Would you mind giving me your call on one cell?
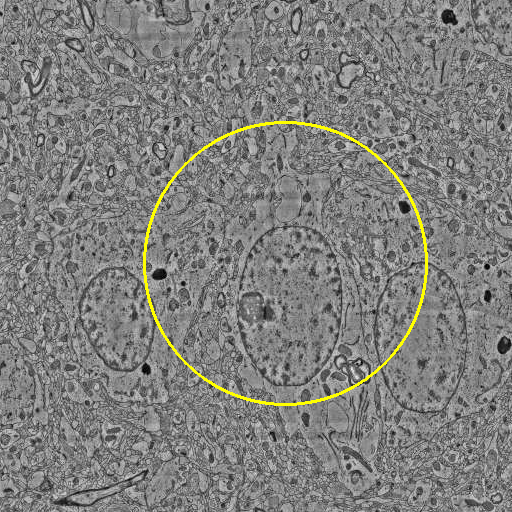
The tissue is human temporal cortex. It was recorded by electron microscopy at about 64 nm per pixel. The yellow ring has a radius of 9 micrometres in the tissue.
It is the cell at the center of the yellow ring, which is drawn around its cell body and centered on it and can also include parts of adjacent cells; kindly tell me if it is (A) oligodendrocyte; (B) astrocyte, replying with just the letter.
B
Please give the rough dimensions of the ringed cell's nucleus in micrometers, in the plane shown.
The nucleus comes to approximately 10 by 7 micrometres and is clearly longer than it is wide in this plane.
